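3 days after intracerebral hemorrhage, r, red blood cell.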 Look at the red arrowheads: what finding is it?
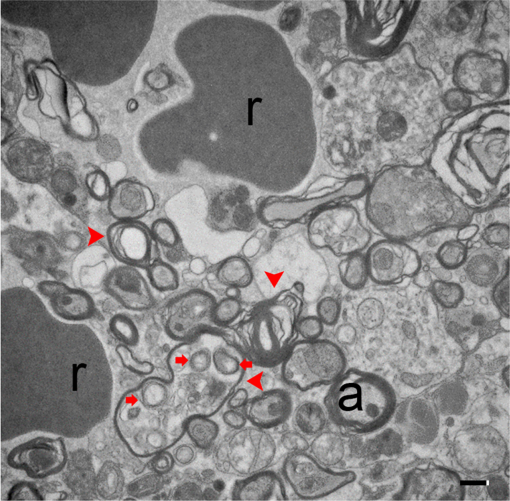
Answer: Degenerating axons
